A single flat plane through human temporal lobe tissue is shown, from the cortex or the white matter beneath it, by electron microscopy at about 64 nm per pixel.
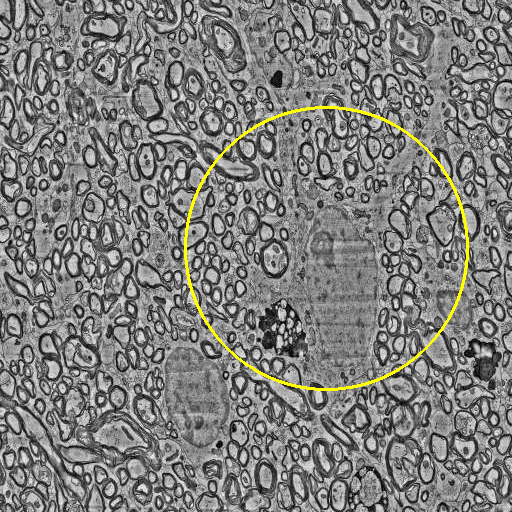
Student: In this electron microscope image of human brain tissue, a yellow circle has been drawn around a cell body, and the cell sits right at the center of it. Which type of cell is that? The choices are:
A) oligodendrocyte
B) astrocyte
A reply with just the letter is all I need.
B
